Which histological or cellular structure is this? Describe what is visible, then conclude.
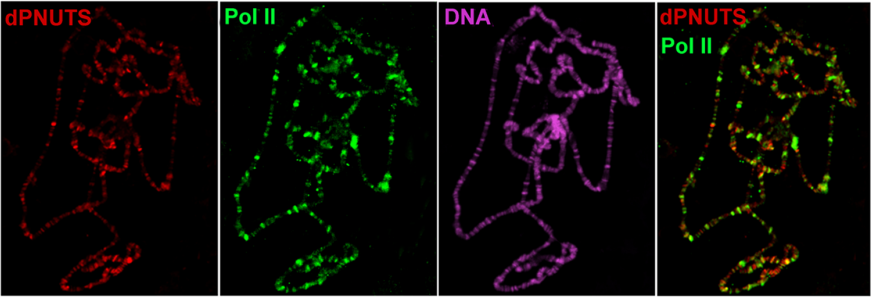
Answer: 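Long, thick chromosome arms spread out as loops. Arms joined at a central dense region.
Answer: Polytene chromosomes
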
